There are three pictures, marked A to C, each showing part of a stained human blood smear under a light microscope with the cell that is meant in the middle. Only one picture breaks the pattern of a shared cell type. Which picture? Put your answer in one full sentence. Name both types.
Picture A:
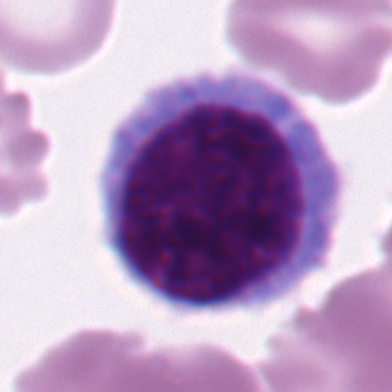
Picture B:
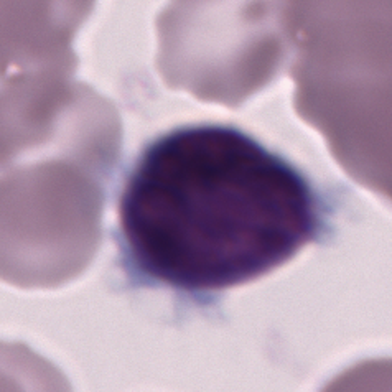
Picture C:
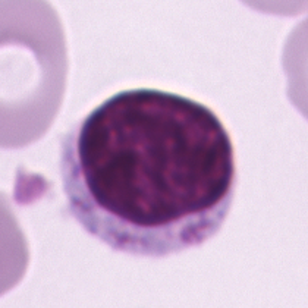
Unlike the rest, which show hairy cells, picture C shows a large granular lymphocyte.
